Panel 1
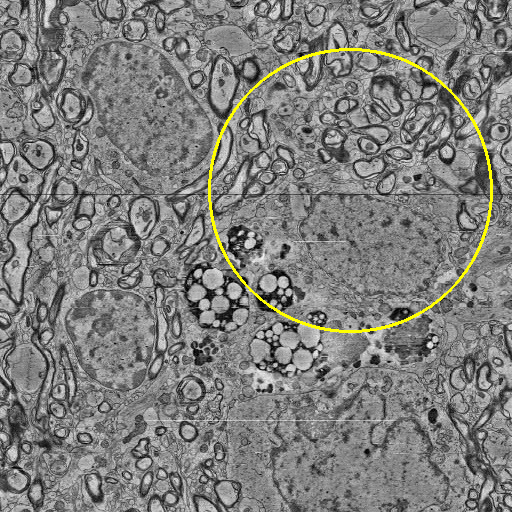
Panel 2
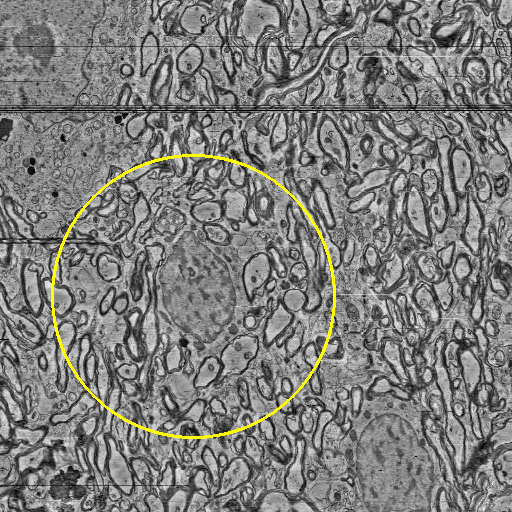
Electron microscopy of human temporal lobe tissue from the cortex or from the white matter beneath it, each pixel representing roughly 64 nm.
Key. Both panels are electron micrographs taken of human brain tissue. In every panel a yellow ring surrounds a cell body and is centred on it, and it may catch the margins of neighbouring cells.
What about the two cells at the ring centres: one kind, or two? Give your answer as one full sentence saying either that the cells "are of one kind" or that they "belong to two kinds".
Across Panels 1 and 2, the two cells at the ring centres belong to two kinds.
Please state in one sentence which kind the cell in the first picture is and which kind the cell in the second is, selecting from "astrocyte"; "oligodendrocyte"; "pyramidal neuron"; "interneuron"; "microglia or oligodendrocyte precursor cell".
The first ringed cell is an astrocyte, the second ringed cell an oligodendrocyte.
